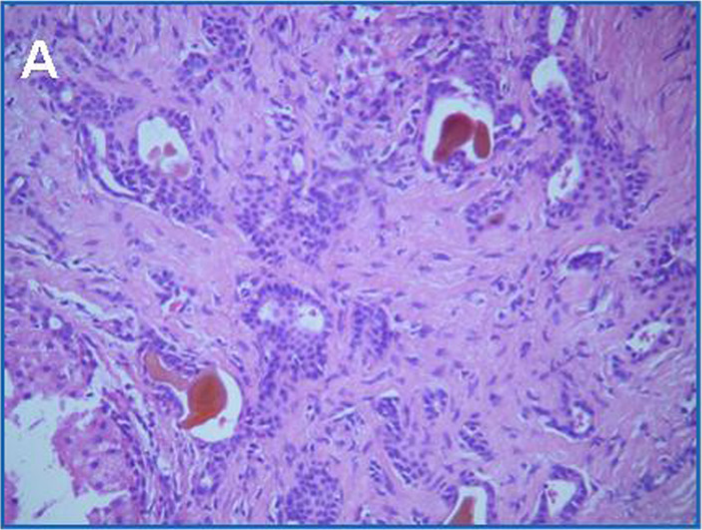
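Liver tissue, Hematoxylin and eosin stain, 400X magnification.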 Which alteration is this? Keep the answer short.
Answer: Bile duct proliferation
